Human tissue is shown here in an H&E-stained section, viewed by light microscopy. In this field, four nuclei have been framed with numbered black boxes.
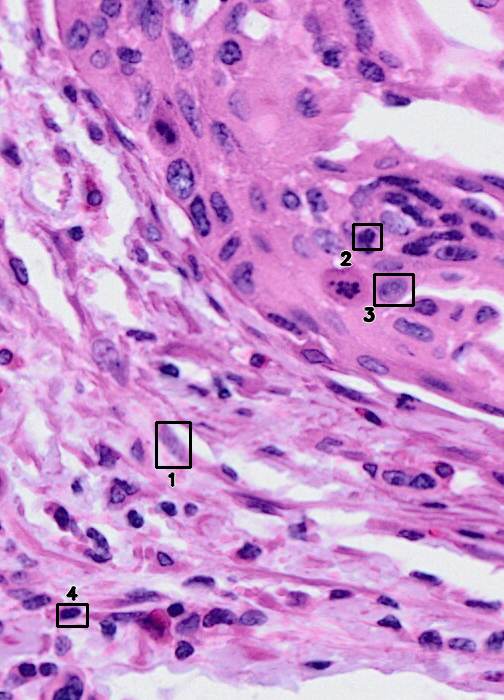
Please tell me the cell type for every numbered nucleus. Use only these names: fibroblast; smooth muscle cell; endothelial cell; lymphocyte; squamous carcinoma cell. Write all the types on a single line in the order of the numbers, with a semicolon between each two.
fibroblast; squamous carcinoma cell; squamous carcinoma cell; lymphocyte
